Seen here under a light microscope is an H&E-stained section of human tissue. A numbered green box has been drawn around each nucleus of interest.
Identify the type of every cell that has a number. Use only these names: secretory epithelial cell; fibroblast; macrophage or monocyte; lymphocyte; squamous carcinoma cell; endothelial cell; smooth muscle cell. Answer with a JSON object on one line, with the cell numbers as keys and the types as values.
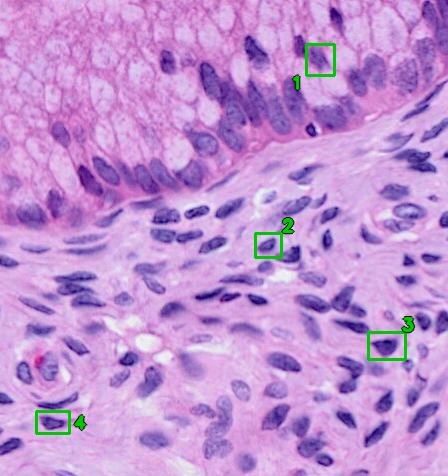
{"1": "secretory epithelial cell", "2": "fibroblast", "3": "fibroblast", "4": "fibroblast"}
